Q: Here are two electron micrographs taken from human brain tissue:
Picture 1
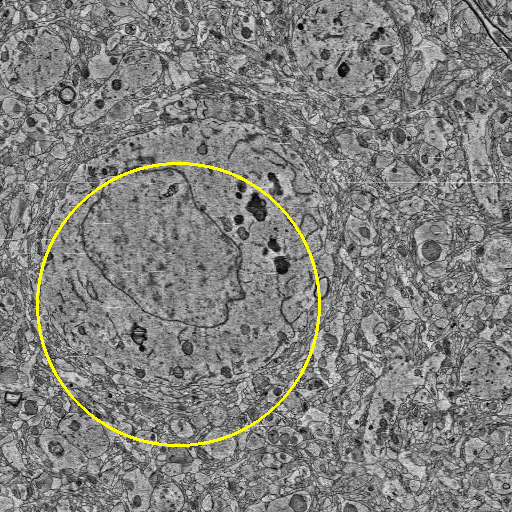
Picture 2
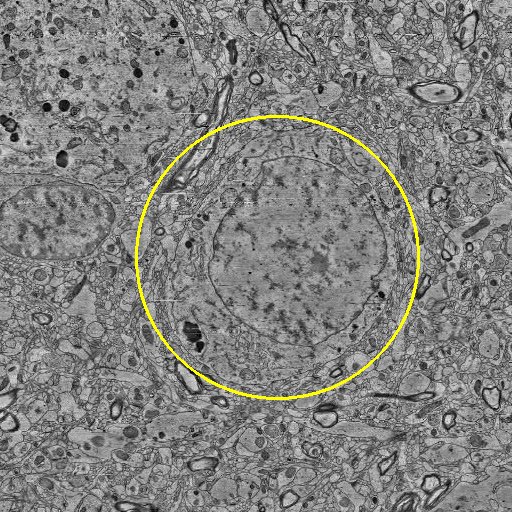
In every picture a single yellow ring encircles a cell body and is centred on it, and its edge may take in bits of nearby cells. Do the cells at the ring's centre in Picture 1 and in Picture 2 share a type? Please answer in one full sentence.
Yes, the cells at the ring's centre in Picture 1 and Picture 2 share a type.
